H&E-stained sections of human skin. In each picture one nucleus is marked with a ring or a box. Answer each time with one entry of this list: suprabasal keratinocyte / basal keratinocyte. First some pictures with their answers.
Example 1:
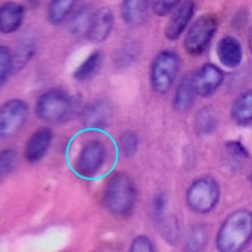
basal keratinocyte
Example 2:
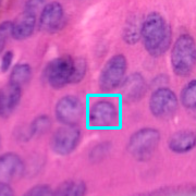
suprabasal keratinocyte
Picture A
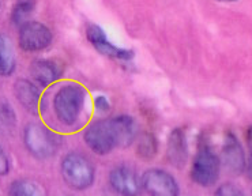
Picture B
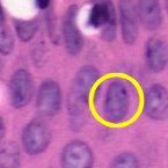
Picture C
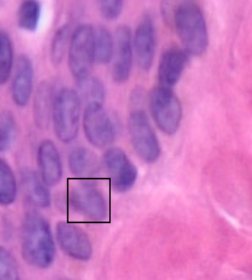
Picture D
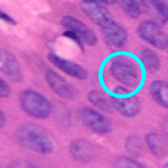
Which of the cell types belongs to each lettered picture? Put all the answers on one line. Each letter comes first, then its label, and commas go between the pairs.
A basal keratinocyte, B suprabasal keratinocyte, C basal keratinocyte, D suprabasal keratinocyte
